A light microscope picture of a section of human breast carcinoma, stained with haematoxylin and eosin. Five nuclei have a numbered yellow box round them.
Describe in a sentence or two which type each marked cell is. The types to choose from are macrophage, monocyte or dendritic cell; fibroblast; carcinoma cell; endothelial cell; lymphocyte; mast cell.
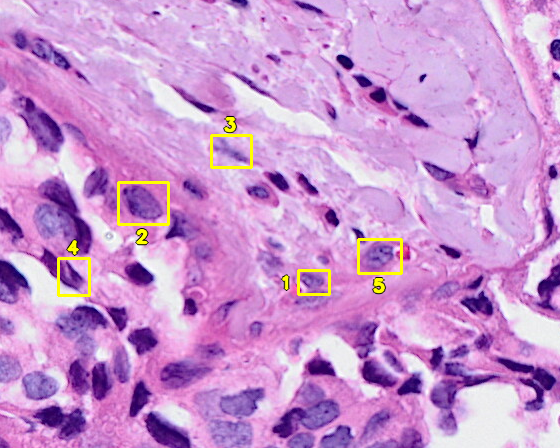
Cell 1 is an endothelial cell, cell 2 is a carcinoma cell, cell 3 is a fibroblast, cell 4 is a carcinoma cell and cell 5 is an endothelial cell.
